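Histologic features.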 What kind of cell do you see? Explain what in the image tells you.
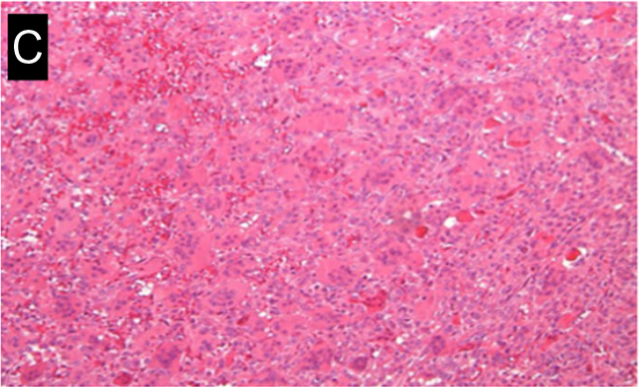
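Osteoclast-like giant cells. Many large cells with pink cytoplasm and numerous nuclei are scattered across the field. The large cells lie evenly spaced among much smaller cells.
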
